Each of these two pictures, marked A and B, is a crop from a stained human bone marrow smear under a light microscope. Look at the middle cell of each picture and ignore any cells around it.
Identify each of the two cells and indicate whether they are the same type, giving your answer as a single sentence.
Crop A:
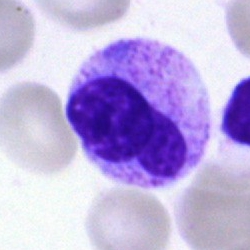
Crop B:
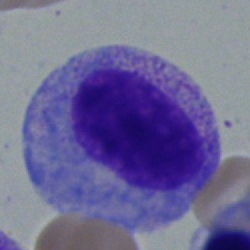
Yes, the crops both have metamyelocytes in the middle.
